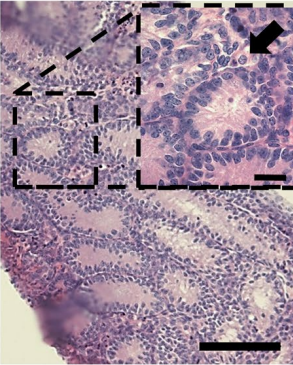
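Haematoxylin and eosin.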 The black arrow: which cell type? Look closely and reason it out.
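The arrow in the inset points to a rounded cell inside a cord. The cord is lined by cells with elongated nuclei.
Germ cells.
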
